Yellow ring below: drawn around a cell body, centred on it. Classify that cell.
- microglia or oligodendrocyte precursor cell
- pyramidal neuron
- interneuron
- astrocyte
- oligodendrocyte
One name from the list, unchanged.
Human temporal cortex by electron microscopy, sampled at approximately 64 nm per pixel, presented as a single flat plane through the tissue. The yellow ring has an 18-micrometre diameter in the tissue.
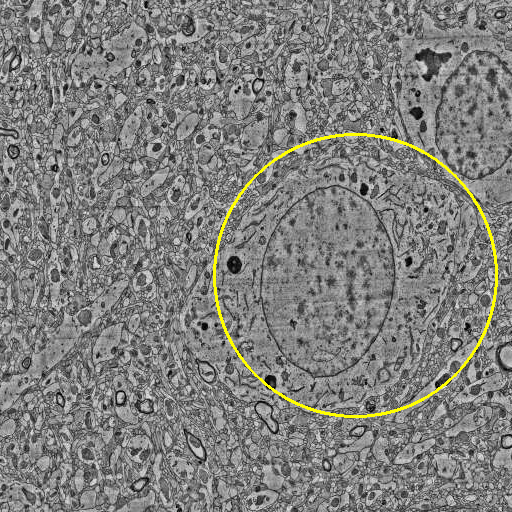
pyramidal neuron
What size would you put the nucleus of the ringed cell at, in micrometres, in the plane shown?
Roughly 12 by 9 micrometres in this plane, for the nucleus of the ringed cell.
